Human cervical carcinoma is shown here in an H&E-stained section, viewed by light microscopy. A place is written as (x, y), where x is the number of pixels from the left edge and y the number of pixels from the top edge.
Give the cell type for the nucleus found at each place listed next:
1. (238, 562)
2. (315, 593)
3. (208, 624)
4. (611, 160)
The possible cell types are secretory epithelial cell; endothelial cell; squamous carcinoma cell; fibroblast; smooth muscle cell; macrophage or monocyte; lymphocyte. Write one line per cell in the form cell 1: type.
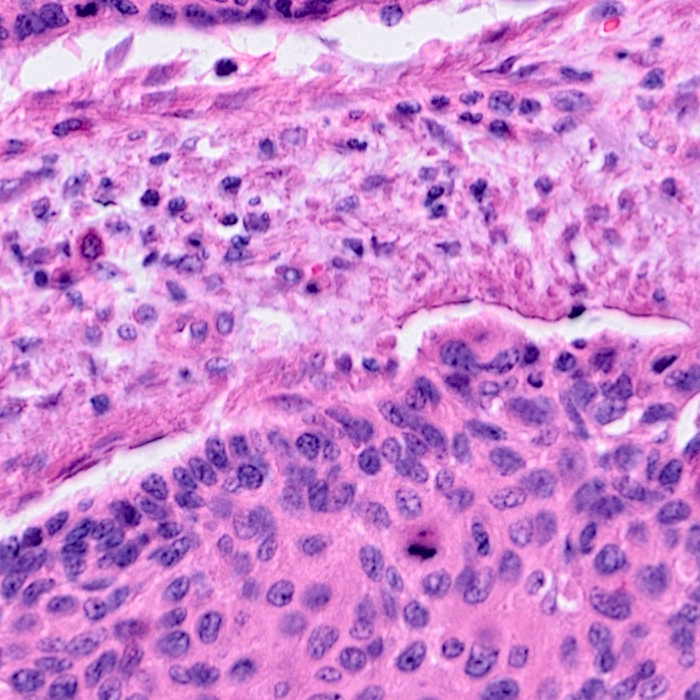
cell 1: squamous carcinoma cell
cell 2: squamous carcinoma cell
cell 3: squamous carcinoma cell
cell 4: fibroblast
